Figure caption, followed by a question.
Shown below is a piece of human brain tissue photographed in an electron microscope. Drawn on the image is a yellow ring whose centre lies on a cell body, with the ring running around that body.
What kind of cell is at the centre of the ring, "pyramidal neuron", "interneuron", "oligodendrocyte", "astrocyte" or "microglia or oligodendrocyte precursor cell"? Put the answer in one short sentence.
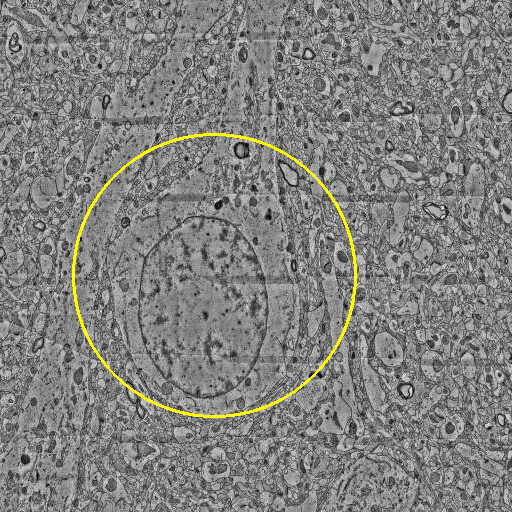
The ring marks the cell body of a pyramidal neuron.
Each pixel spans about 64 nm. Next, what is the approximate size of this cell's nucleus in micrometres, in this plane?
In this plane the nucleus measures roughly 12 by 8 micrometres.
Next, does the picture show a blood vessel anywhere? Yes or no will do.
No, none shows.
